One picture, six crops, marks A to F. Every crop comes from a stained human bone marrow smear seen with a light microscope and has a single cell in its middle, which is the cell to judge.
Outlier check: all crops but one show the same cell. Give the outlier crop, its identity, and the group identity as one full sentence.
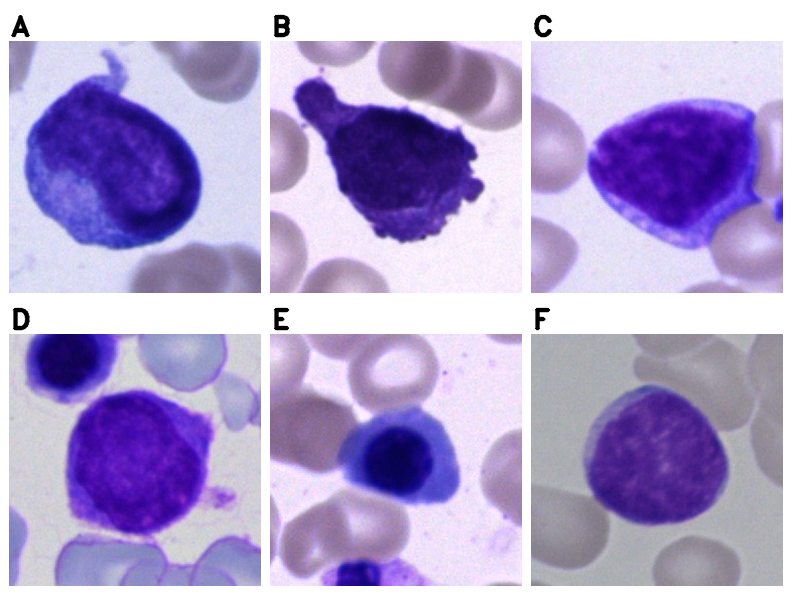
Found in all crops but one are blasts; the exception, crop E, contains a normoblast.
